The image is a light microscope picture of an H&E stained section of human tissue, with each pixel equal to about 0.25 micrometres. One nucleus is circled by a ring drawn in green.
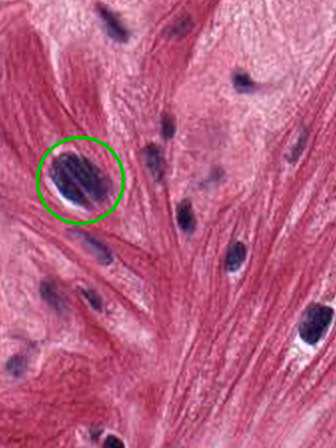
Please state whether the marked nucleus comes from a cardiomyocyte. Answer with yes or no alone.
yes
